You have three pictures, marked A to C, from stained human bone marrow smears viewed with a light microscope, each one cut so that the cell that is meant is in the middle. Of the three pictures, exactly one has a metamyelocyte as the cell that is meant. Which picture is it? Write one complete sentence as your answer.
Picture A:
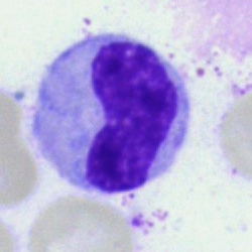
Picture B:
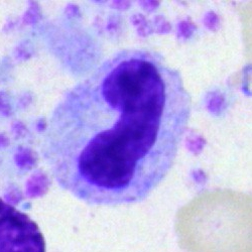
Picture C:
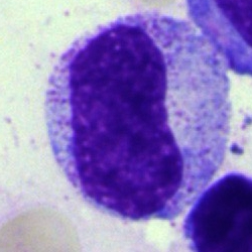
The picture with the metamyelocyte is C.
